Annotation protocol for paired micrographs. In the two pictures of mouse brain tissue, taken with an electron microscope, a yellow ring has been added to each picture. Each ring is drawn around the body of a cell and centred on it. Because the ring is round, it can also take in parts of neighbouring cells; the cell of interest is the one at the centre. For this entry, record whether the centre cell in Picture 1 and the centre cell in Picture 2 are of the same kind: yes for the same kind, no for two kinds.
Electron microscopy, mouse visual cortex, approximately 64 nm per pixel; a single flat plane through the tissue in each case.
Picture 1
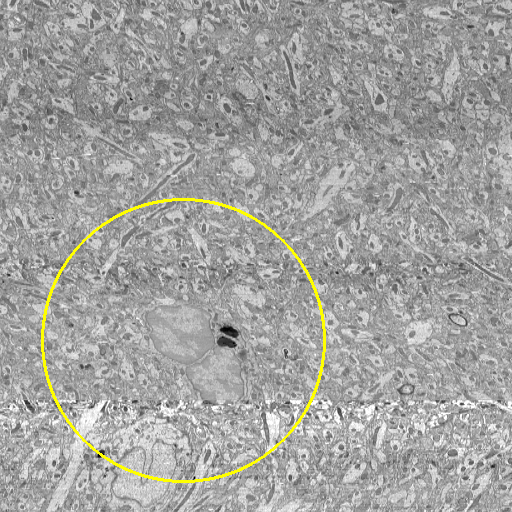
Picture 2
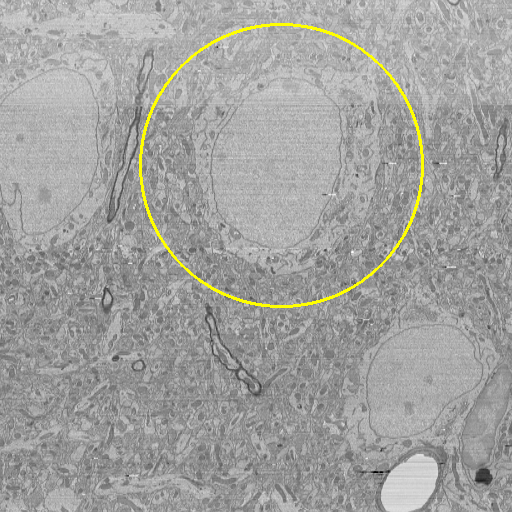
no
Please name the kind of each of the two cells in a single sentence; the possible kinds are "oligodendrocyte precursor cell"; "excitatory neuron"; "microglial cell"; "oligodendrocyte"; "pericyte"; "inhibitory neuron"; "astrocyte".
In the first picture the ring is centred on a microglial cell, and in the second on an excitatory neuron.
